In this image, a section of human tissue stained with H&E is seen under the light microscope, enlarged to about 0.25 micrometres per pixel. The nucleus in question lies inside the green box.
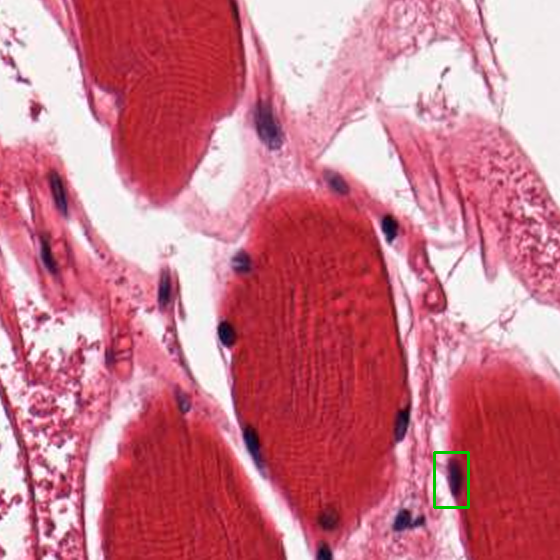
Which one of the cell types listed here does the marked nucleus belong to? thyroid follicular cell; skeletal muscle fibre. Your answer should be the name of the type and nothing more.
skeletal muscle fibre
